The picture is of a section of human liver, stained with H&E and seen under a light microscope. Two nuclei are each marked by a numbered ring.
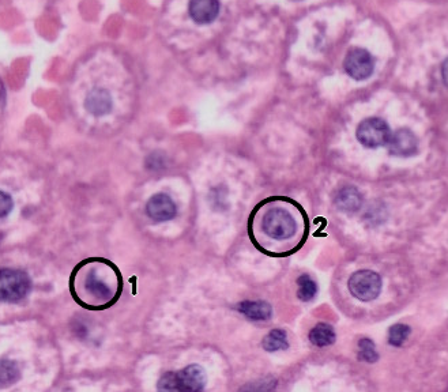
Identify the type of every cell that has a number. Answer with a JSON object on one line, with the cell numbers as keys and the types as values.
{"1": "endothelial cell", "2": "hepatocyte"}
